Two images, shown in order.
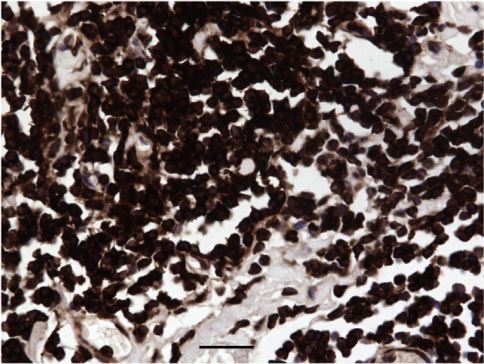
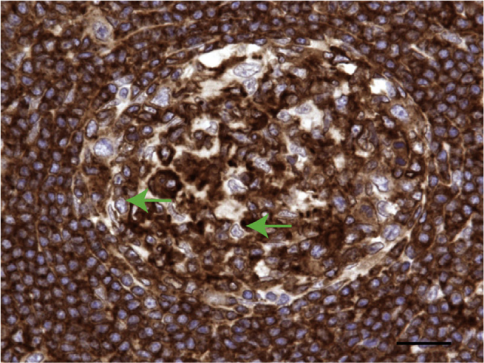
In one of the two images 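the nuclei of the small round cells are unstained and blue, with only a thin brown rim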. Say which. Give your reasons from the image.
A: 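Second image: the densely packed small round cells show blue nuclei each ringed by a thin brown rim. First image: the small round cells are dark brown throughout, with no blue nuclei visible in most of them.
Conclusion: the second image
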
